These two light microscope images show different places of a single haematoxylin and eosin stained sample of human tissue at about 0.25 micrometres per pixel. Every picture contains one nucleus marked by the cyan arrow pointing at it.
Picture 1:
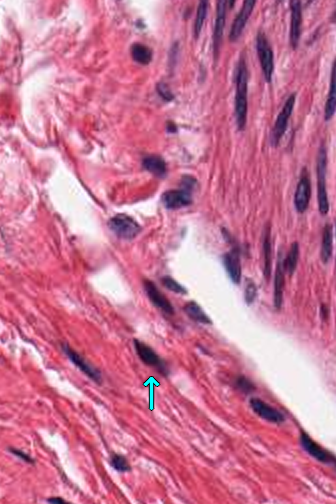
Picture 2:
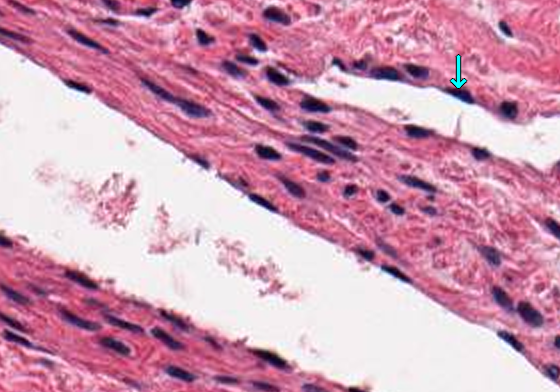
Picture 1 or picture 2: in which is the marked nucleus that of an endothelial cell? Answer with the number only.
2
